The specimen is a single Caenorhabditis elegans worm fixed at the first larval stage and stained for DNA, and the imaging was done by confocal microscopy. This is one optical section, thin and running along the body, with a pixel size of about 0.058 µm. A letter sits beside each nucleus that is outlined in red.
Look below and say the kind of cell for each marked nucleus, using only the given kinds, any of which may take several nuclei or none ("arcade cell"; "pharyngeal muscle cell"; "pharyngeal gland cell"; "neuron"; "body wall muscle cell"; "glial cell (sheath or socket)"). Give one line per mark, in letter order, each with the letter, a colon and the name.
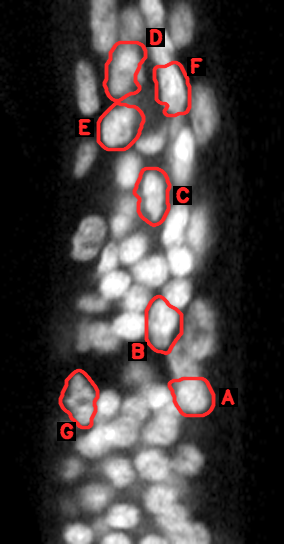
A: neuron
B: glial cell (sheath or socket)
C: pharyngeal muscle cell
D: glial cell (sheath or socket)
E: glial cell (sheath or socket)
F: arcade cell
G: body wall muscle cell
